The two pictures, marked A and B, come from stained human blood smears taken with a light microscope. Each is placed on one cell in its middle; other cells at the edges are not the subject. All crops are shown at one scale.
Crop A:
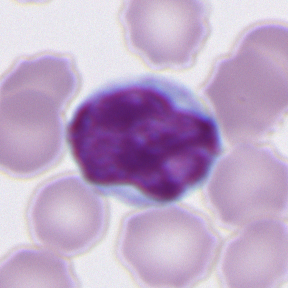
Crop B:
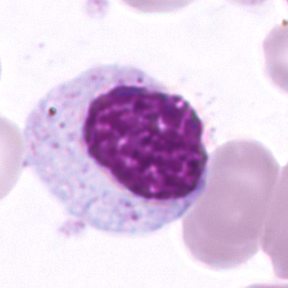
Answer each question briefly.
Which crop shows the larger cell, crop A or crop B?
B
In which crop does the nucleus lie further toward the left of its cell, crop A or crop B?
A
